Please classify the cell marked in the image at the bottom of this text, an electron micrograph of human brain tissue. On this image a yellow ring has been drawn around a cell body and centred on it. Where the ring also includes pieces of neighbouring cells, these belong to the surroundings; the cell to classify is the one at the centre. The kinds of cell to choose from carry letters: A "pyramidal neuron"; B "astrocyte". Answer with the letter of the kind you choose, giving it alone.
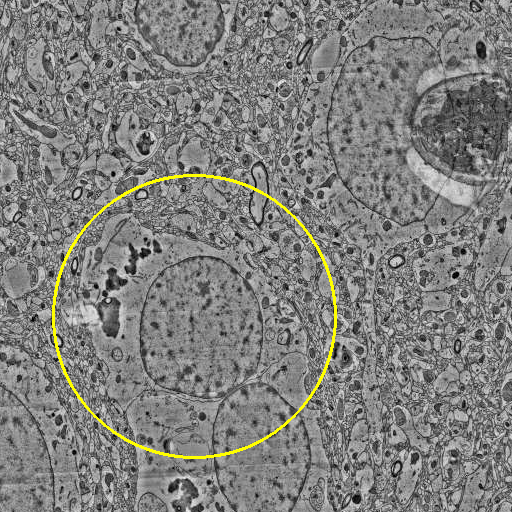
B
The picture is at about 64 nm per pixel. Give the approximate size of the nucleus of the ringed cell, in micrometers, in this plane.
Roughly 9 micrometres by 8 micrometres, in this plane.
